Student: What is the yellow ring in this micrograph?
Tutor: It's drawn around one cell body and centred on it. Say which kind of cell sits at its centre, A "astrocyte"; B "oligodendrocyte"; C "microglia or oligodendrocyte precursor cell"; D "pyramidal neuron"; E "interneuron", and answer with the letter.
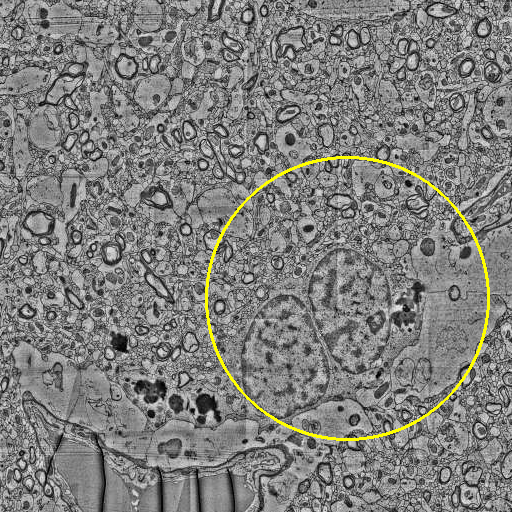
B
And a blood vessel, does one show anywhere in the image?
Yes, the picture includes a blood vessel.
